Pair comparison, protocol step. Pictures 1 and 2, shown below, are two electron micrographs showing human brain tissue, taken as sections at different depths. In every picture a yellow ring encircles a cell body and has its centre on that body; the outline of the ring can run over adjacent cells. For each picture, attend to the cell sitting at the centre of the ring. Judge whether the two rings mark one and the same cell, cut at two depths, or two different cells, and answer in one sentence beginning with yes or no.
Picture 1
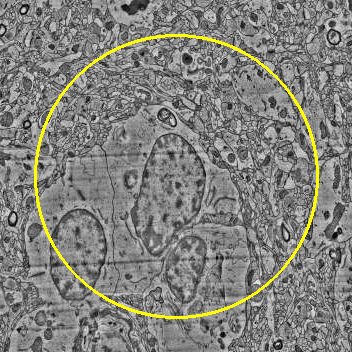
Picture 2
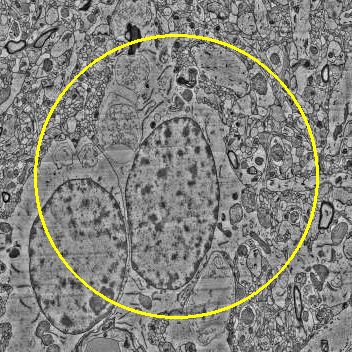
Yes, the rings do not mark different cells but one cell.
